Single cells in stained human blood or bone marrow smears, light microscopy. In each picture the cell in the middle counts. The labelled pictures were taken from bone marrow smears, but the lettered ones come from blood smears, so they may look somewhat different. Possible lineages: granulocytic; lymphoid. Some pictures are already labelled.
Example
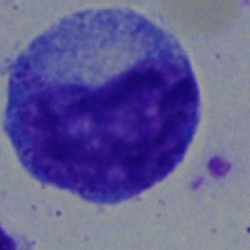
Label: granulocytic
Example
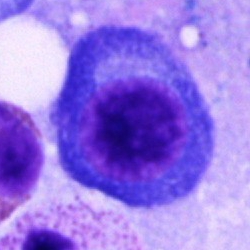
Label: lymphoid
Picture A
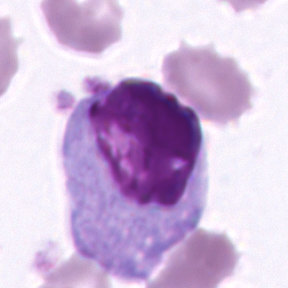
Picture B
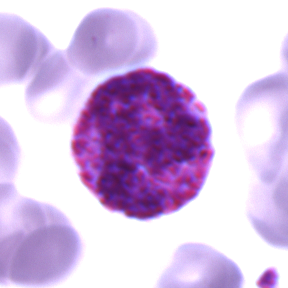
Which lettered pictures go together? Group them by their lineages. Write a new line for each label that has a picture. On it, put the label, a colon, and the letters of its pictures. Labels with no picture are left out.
granulocytic: B
lymphoid: A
